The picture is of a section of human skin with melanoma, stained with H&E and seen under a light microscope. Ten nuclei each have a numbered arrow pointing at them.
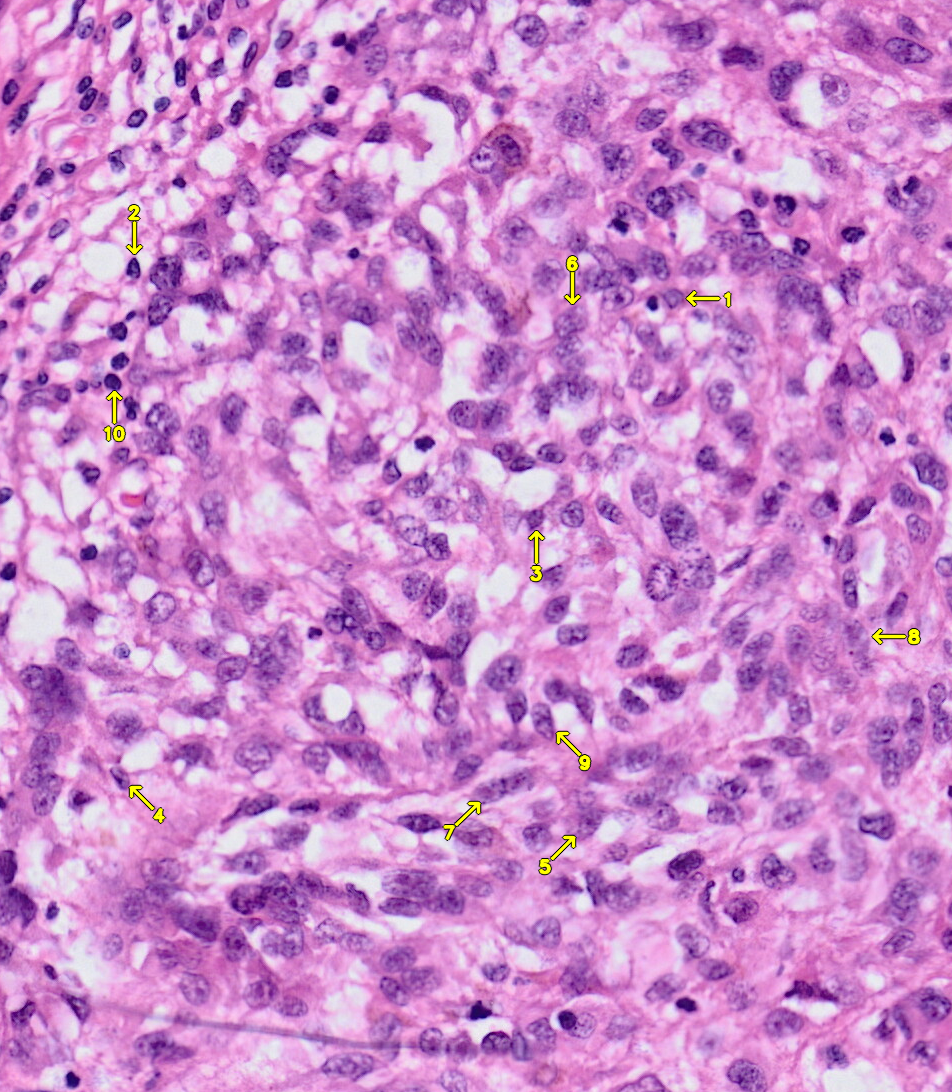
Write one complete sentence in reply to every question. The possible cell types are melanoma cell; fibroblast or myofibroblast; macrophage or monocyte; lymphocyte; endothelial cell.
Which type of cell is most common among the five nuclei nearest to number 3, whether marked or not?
Of the five nuclei nearest to number 3, most belong to melanoma cells.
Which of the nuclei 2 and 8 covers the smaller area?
It is nucleus 2; nucleus 8 has about 2.5 times its area.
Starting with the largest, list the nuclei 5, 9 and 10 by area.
From largest to smallest, the order is 5, 9, 10.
